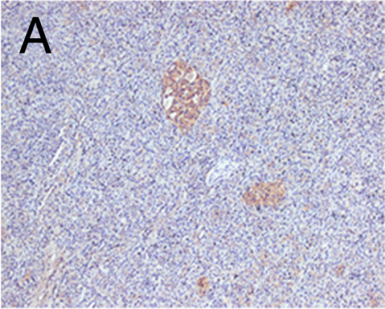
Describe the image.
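Most of the field is densely packed glandular tissue with many small blue nuclei and only faint, patchy brown tint. The brown in the islets is diffuse through the cells, while the glands around them are largely blue. A few thin strands of connective tissue and small vessels cross the field.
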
